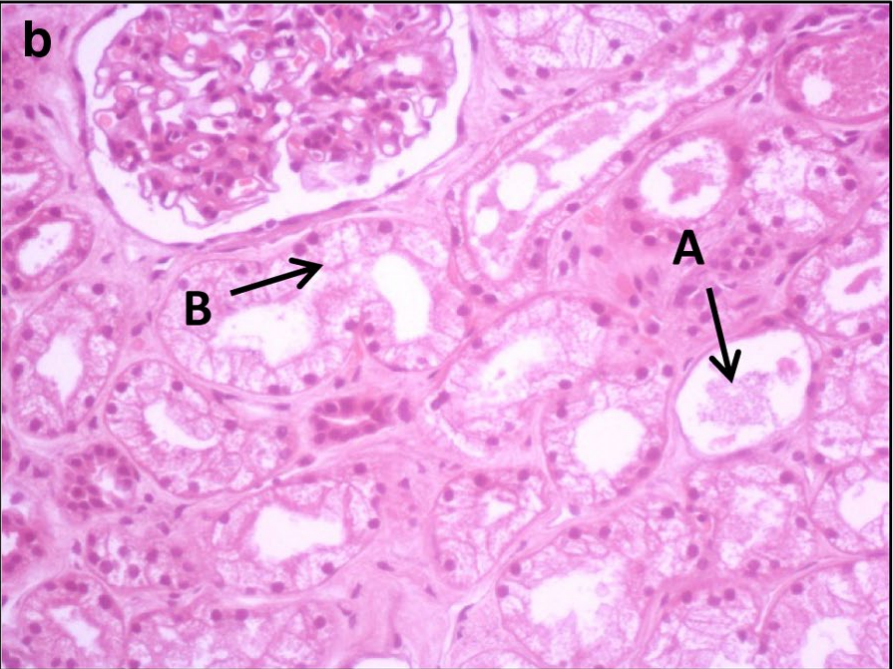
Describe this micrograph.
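This is kidney cortex with a glomerulus at the upper left and surrounding tubules, stained pink and purple. The glomerulus shows a lobulated tuft of capillary loops with many nuclei inside a clear Bowman space. The surrounding tubular cells have pale, foamy cytoplasm full of small clear vacuoles, with round purple nuclei along the basement membranes. Several tubules are dilated, with flattened lining and loose pale material in their lumens.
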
